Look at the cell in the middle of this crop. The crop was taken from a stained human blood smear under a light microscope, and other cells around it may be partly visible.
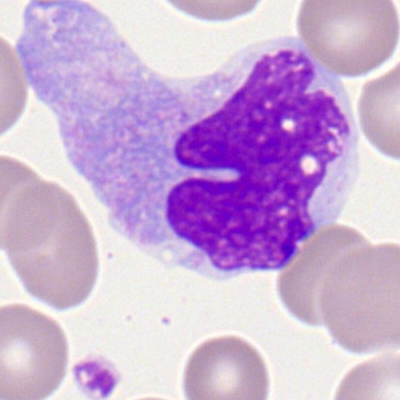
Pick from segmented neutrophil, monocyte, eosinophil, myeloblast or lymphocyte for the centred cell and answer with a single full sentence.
Centrally within this crop lies a monocyte.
